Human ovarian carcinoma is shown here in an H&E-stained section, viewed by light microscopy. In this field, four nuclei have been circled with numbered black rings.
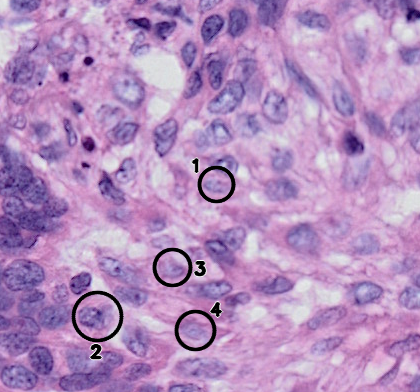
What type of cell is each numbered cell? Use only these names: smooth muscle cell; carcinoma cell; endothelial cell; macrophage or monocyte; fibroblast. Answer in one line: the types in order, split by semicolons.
fibroblast; macrophage or monocyte; fibroblast; fibroblast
